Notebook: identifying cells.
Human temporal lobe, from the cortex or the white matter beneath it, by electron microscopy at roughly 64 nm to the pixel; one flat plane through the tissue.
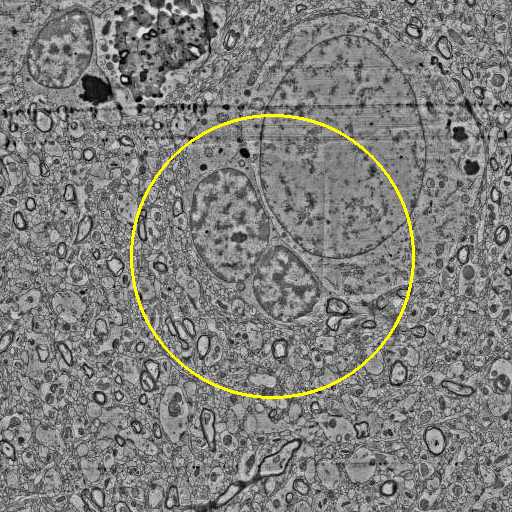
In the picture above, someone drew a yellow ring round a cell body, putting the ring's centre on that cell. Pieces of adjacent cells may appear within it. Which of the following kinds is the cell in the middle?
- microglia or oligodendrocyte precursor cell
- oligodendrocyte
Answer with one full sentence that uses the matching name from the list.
In this picture, the yellow ring is centred on the body of an oligodendrocyte.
